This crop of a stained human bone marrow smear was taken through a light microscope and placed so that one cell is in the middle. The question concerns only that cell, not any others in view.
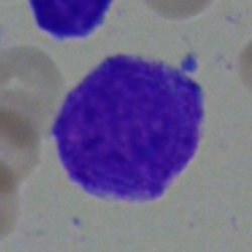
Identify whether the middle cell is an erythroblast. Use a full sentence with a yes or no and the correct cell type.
No, not an erythroblast: the cell in the middle of this crop is a blast.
